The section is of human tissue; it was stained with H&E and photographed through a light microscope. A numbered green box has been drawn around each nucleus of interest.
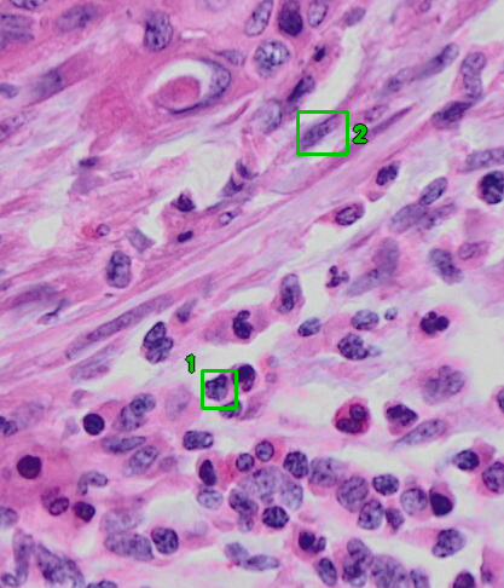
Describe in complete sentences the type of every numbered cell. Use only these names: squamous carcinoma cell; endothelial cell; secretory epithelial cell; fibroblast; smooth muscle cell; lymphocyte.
Cell 1 is a lymphocyte and cell 2 is a fibroblast.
